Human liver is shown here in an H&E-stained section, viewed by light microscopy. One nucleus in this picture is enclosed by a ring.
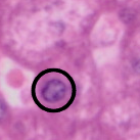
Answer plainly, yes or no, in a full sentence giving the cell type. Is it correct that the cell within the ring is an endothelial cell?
No, it is a hepatocyte, not an endothelial cell, that the cell within the ring represents.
